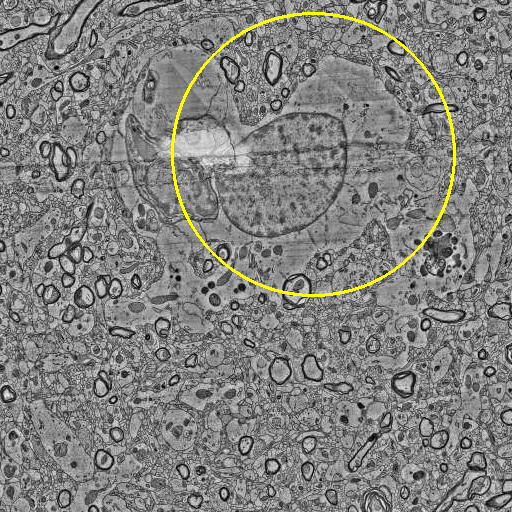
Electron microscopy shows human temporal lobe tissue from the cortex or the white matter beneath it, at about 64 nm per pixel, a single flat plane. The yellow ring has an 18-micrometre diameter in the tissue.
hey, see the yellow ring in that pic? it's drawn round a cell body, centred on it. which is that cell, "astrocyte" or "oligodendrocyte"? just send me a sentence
The cell in the ring is an astrocyte.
